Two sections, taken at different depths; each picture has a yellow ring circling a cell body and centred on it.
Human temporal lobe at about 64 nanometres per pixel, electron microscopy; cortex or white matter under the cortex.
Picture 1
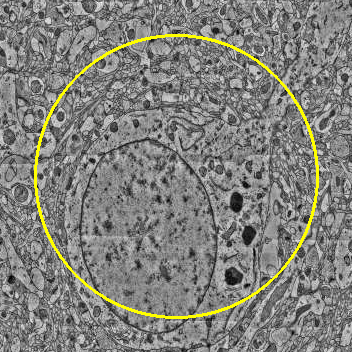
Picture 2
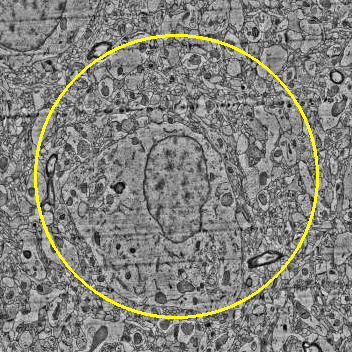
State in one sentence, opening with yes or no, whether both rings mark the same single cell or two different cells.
No, the two marked cells are different cells.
